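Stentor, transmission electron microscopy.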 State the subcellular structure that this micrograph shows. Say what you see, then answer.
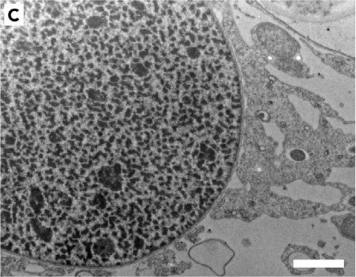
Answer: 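A very large round body bounded by an envelope fills most of the field. Its interior is packed with dark clumps of chromatin-like material. Cytoplasm with small membrane-bound organelles lies outside it at right.
Hence: macronucleus.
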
